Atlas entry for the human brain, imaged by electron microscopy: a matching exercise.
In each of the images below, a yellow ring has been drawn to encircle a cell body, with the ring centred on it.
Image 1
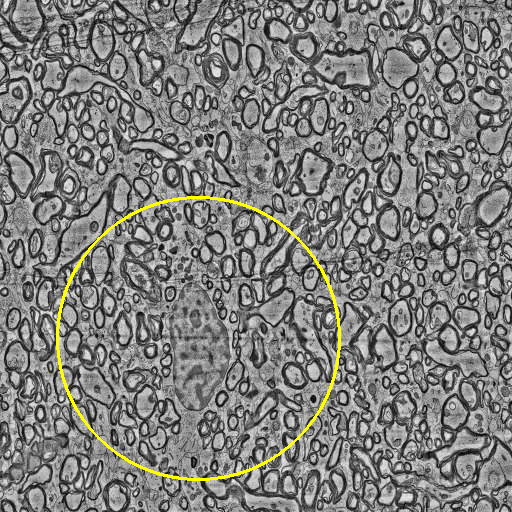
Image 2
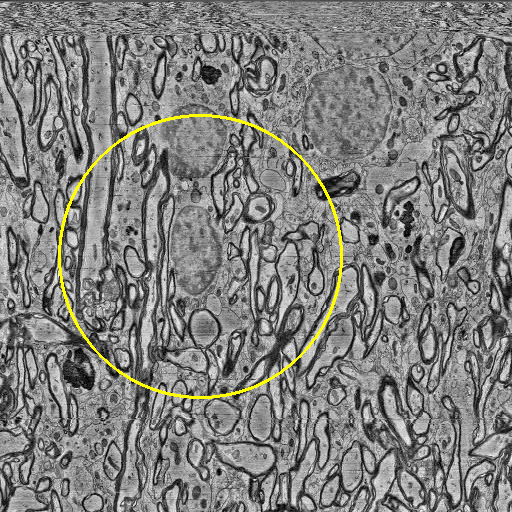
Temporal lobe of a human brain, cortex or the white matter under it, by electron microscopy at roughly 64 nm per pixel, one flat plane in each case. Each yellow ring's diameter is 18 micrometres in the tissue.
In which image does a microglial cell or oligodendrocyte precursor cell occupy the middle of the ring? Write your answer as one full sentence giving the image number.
In image 1, the ring is centred on the cell in question.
